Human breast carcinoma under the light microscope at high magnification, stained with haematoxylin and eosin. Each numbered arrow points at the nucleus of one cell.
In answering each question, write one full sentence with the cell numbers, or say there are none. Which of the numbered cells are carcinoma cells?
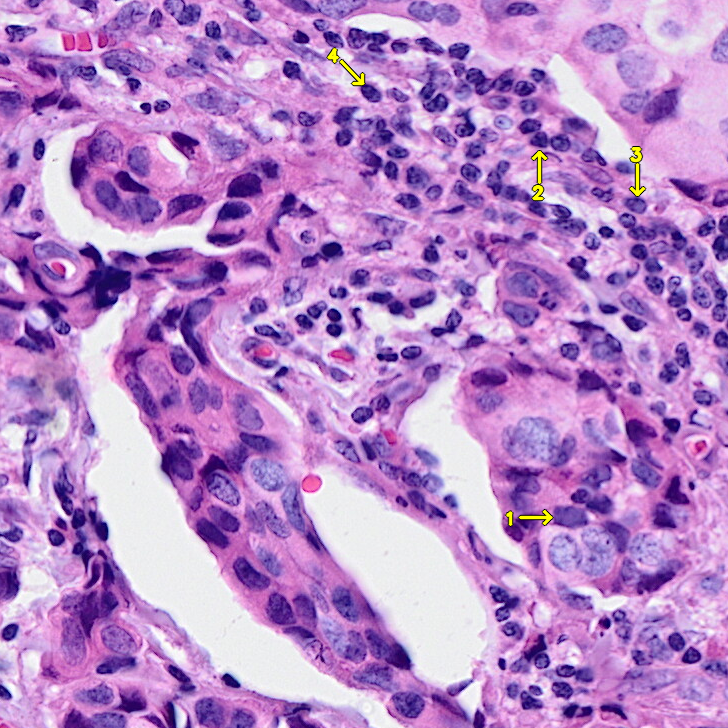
Exactly one numbered cell is a carcinoma cell, and that cell is number 1.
